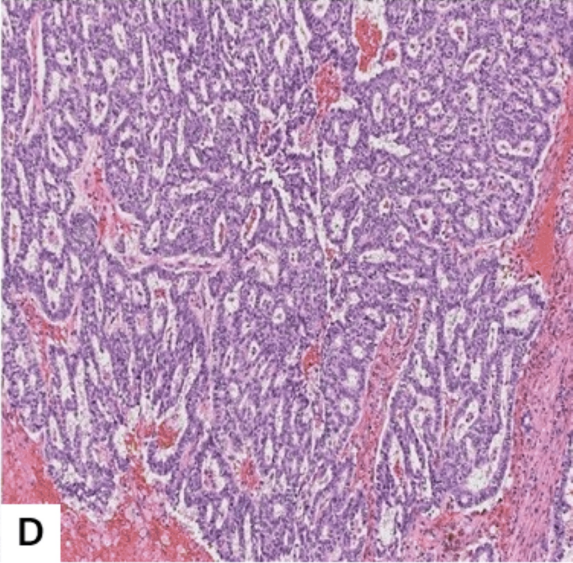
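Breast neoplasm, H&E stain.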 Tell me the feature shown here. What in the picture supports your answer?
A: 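Micropapillary and cribriform structures. Sheets of densely packed purple epithelial cells are perforated by many small, rounded or slit-like spaces, giving a sieve-like pattern. Small tufts and strands of epithelial cells project into or bridge the spaces. Thin pink septa with red blood cells run between the epithelial sheets.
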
